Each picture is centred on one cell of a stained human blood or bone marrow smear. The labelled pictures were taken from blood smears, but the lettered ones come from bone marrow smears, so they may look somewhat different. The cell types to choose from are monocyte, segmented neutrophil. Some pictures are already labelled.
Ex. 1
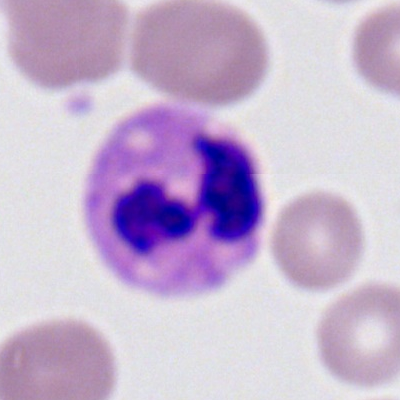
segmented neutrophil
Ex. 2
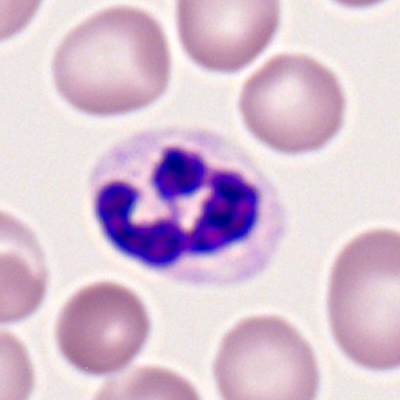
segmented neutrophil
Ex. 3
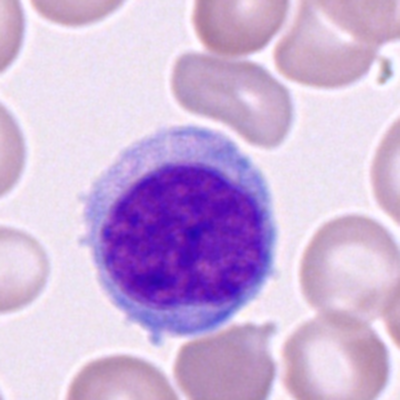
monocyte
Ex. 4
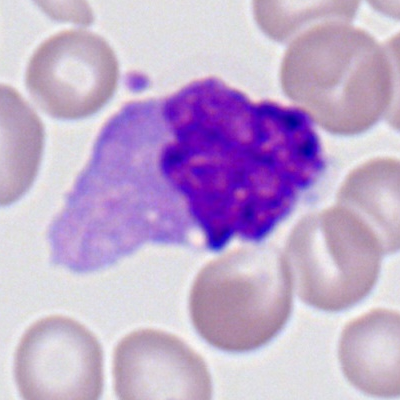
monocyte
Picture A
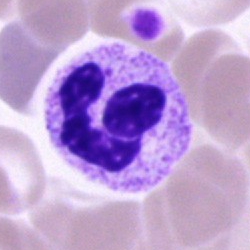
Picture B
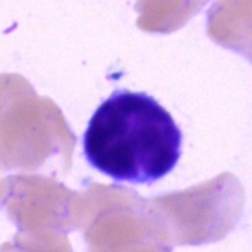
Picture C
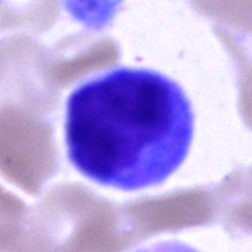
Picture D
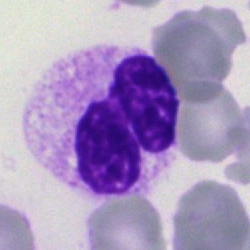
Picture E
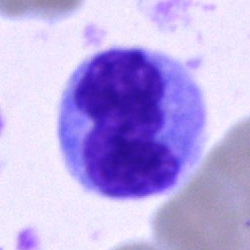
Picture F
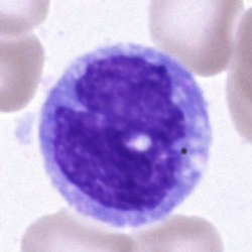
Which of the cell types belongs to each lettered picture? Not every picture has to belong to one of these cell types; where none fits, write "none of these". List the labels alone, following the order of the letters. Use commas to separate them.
segmented neutrophil, none of these, monocyte, segmented neutrophil, monocyte, monocyte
